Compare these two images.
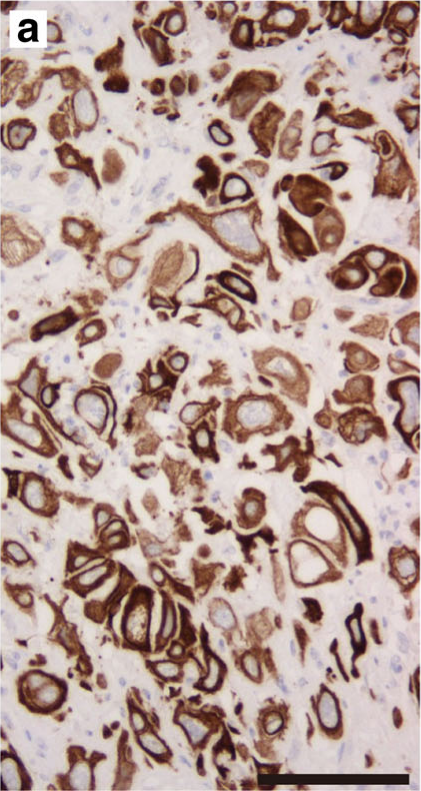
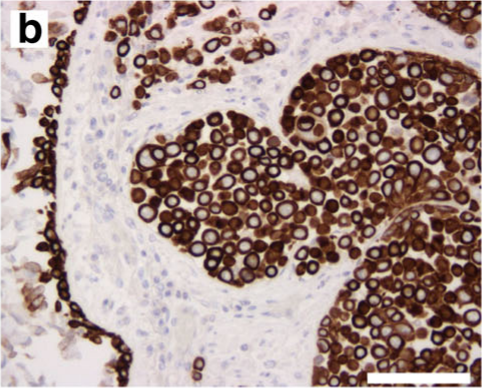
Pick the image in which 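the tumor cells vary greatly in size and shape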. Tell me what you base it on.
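The first image. Second image: stained tumor cells are round and of similar size. First image: stained tumor cells range from small to very large with irregular outlines.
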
